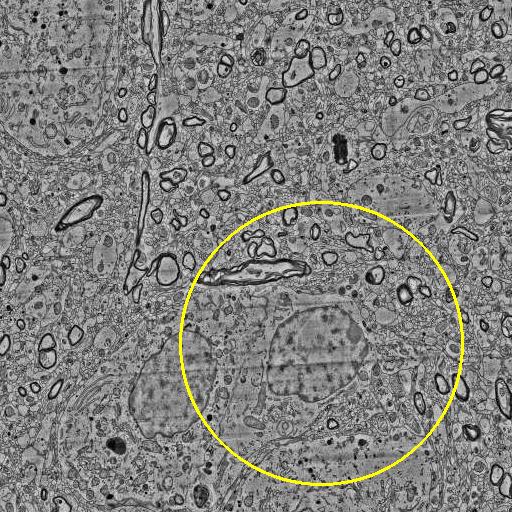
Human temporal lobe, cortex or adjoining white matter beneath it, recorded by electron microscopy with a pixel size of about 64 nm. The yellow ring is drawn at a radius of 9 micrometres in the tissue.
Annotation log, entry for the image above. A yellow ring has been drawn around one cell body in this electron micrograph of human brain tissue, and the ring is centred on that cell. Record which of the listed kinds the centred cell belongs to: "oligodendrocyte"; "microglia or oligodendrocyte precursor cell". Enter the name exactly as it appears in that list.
microglia or oligodendrocyte precursor cell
